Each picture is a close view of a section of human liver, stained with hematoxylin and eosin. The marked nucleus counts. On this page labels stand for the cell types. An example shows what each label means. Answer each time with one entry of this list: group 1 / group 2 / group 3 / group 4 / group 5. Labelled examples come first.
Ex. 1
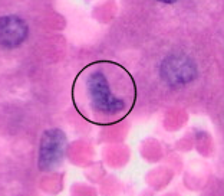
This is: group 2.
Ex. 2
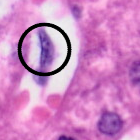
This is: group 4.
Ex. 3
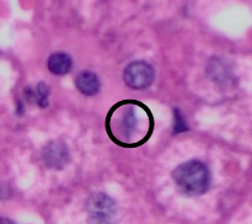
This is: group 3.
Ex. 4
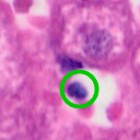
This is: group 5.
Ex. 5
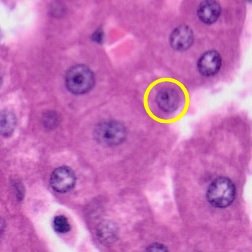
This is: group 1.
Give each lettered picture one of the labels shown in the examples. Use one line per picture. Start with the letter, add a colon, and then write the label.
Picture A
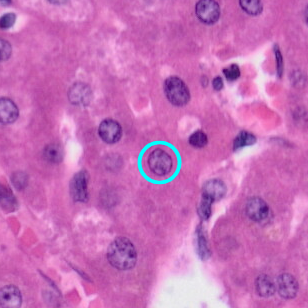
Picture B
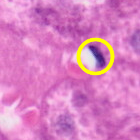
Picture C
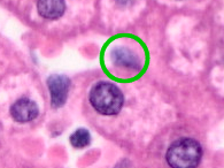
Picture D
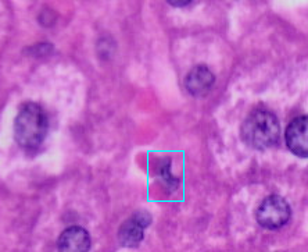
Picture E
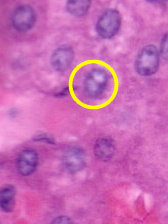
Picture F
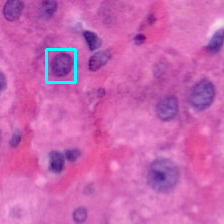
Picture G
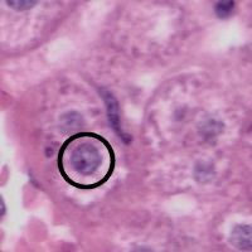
A: group 1.
B: group 3.
C: group 3.
D: group 3.
E: group 1.
F: group 1.
G: group 1.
